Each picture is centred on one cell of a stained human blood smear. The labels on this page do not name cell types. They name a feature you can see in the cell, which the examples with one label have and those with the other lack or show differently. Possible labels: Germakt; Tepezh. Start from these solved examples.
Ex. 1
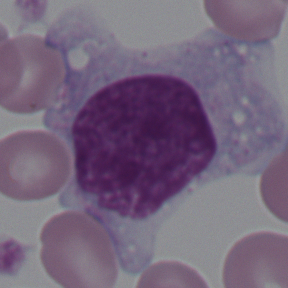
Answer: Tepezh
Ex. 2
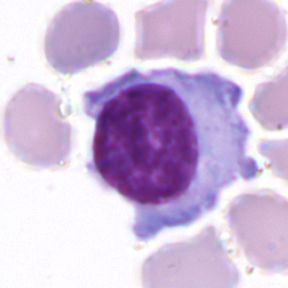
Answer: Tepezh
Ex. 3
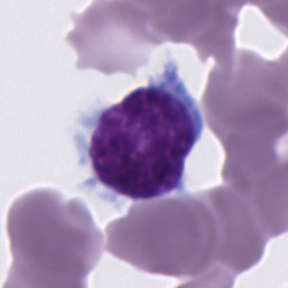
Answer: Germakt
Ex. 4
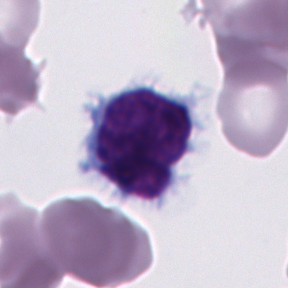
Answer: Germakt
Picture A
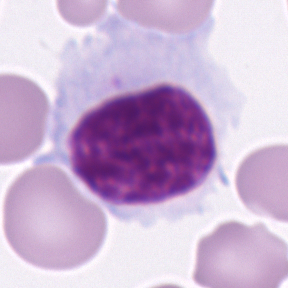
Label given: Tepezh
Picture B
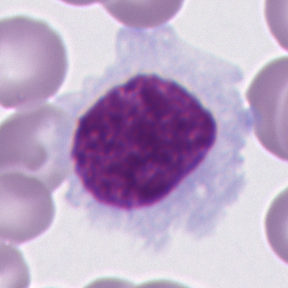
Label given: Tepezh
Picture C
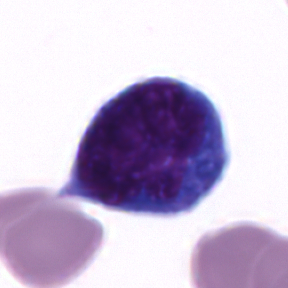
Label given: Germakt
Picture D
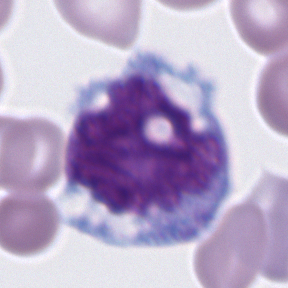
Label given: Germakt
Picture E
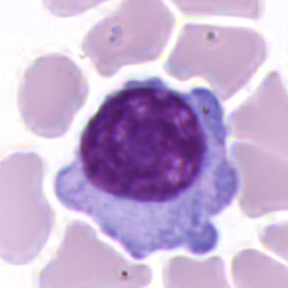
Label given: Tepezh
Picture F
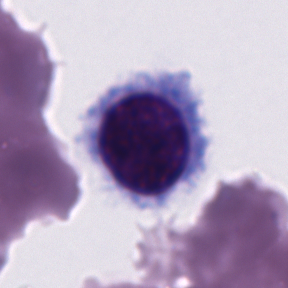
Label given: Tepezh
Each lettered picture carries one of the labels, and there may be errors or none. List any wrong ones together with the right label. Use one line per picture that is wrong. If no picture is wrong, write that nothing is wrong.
F is labelled Tepezh; correct label: Germakt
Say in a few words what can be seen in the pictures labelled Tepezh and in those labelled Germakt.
Seen in Tepezh: abundant cytoplasm; seen in Germakt: scant cytoplasm.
